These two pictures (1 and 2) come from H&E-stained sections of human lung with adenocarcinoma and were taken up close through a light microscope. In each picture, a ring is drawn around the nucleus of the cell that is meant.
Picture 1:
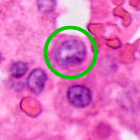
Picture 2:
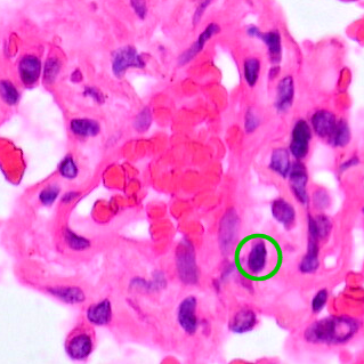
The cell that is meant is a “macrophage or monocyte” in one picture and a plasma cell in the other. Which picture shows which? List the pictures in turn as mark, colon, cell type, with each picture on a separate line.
1: macrophage or monocyte
2: plasma cell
